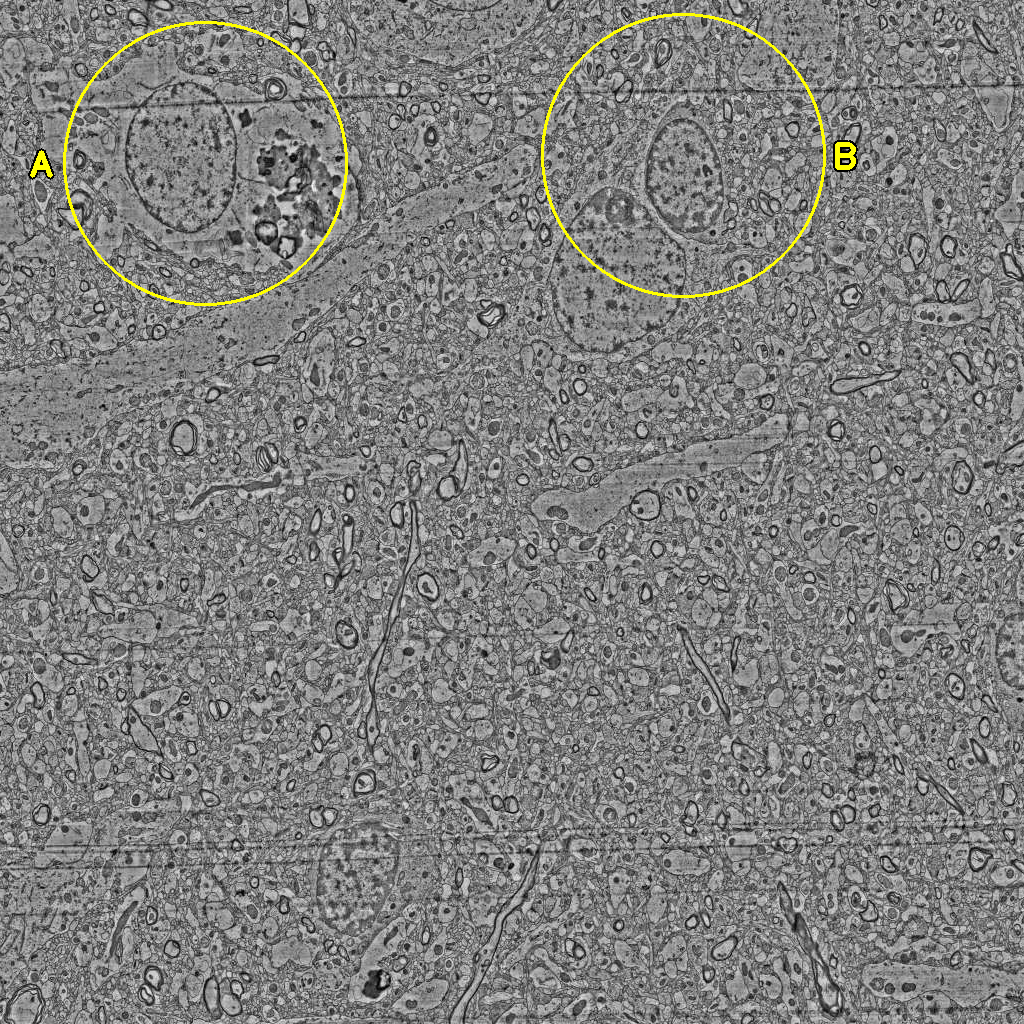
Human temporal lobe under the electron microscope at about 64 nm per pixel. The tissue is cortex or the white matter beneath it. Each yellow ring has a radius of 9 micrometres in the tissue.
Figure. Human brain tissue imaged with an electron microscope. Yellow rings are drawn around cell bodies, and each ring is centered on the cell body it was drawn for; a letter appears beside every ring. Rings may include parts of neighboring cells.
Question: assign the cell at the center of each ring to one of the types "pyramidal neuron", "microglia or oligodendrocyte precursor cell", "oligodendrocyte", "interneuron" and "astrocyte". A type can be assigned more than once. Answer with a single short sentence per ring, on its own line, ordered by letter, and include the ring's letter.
Centered in ring A is an astrocyte.
Centered in ring B is an oligodendrocyte.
